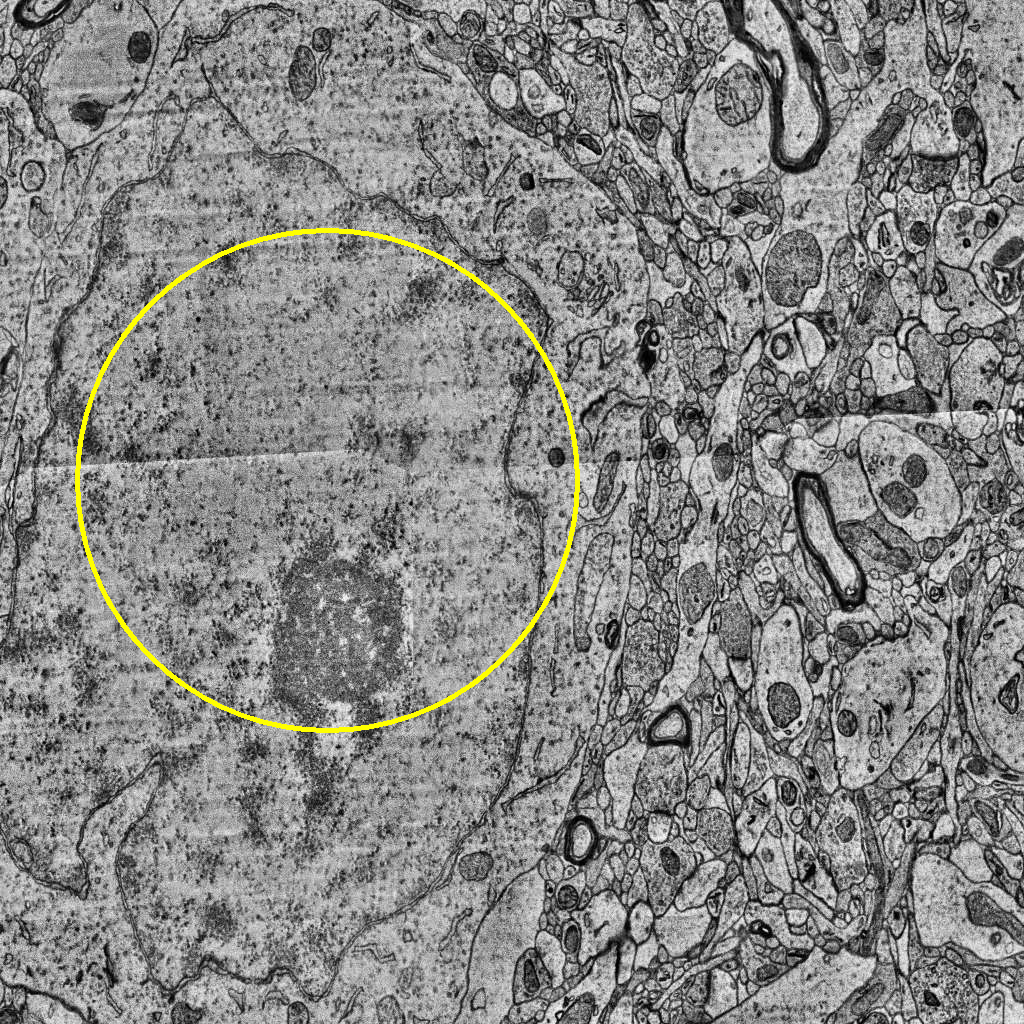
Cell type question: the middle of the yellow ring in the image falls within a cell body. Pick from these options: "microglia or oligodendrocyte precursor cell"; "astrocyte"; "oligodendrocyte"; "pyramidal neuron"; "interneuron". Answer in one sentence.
The cell body at the center of the ring belongs to an interneuron.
